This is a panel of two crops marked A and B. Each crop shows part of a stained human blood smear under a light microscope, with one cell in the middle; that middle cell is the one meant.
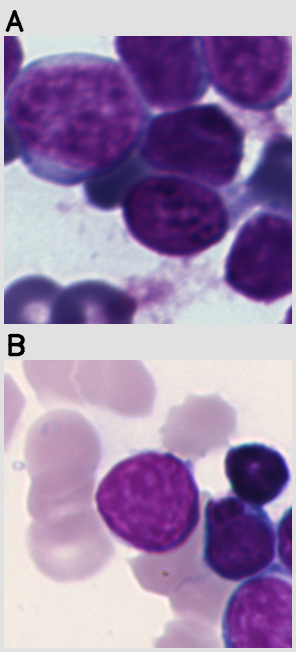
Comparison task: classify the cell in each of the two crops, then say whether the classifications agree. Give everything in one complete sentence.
Yes, myeloblasts are the cells in the middle of both crops.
